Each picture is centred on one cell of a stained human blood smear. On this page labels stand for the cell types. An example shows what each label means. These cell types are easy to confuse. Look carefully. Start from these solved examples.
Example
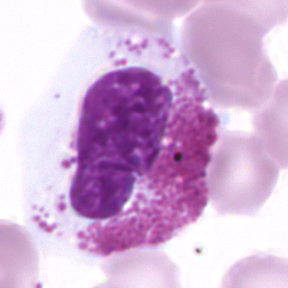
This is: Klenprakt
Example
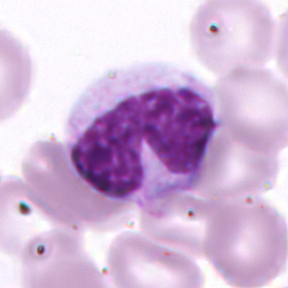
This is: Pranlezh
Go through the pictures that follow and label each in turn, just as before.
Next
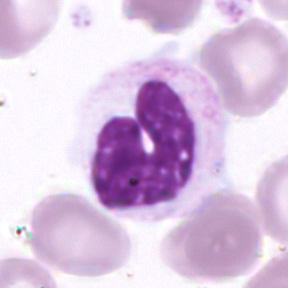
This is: Pranlezh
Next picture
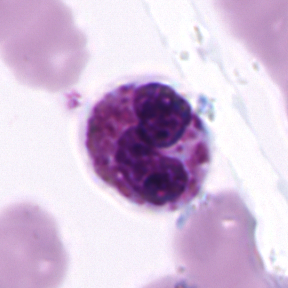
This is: Klenprakt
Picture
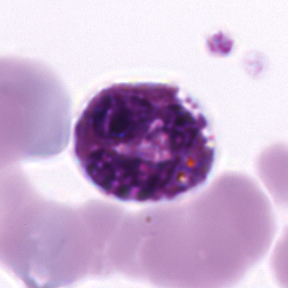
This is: Klenprakt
